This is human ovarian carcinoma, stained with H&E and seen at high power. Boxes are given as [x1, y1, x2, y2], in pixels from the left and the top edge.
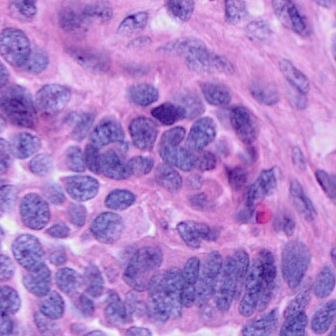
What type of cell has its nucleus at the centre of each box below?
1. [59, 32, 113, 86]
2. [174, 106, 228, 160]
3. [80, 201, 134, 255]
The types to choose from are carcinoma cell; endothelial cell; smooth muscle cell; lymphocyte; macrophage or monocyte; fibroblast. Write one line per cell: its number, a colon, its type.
1: fibroblast
2: carcinoma cell
3: carcinoma cell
